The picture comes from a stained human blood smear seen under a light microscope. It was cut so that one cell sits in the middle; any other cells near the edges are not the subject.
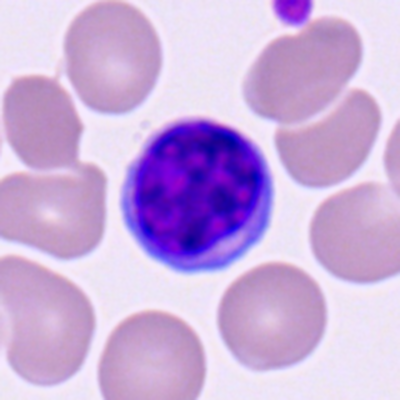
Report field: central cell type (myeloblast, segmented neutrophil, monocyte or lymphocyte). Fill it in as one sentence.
By type, the central cell of the crop is a lymphocyte.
